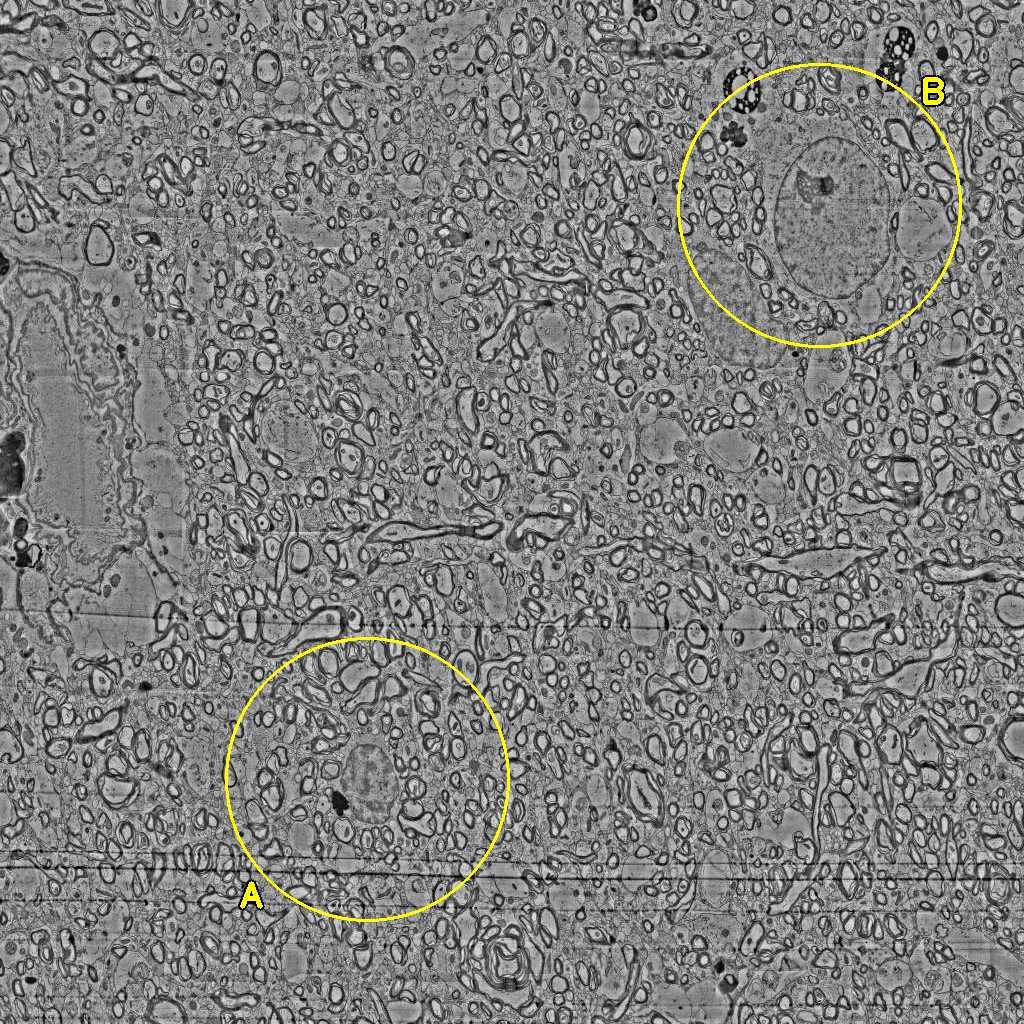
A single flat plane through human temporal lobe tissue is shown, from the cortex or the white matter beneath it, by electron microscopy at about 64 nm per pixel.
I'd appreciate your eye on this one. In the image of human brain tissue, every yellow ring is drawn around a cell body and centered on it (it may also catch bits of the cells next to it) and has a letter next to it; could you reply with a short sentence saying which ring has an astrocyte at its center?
Ring B is centered on it.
